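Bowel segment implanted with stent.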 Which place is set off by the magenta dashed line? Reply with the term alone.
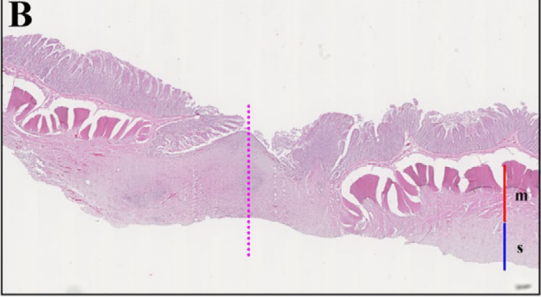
enterotomy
